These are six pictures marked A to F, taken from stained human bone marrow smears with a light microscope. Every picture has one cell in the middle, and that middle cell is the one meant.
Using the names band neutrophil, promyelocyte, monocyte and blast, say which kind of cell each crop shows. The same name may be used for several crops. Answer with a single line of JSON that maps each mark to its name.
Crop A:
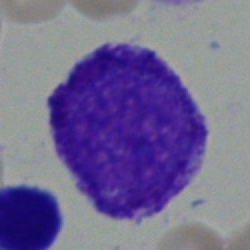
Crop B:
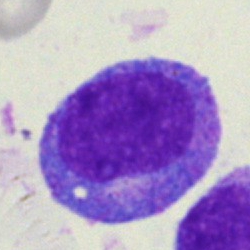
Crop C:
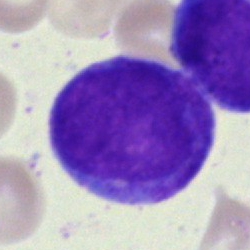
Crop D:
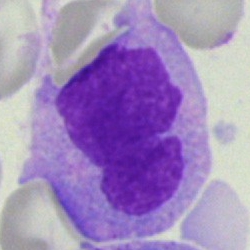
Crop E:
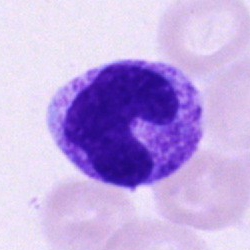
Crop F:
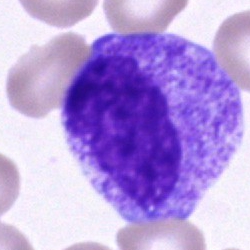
{"A": "blast", "B": "promyelocyte", "C": "promyelocyte", "D": "monocyte", "E": "band neutrophil", "F": "promyelocyte"}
